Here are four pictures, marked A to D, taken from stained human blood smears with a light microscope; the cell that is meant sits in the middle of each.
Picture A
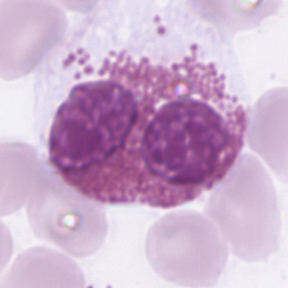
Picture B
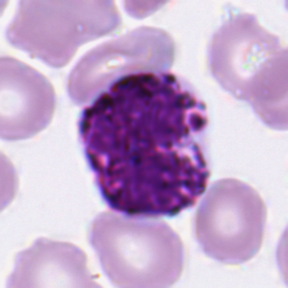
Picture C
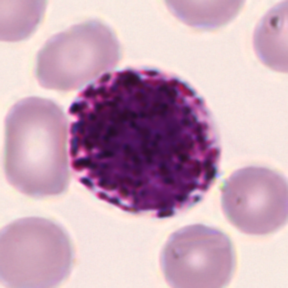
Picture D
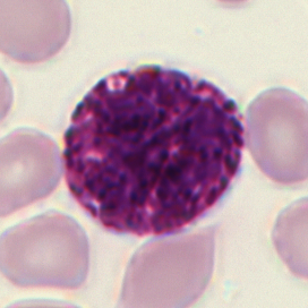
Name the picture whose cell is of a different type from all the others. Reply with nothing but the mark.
A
